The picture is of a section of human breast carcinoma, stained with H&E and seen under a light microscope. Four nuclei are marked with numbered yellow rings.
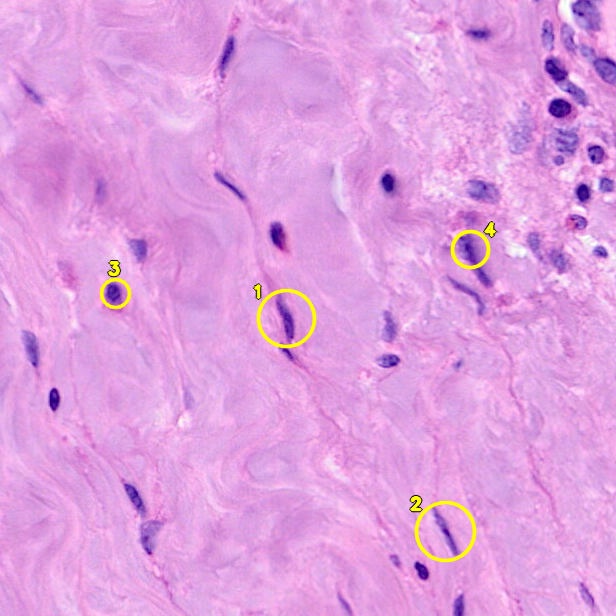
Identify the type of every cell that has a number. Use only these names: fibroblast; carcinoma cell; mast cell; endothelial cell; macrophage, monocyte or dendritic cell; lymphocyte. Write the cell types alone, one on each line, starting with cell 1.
fibroblast
fibroblast
mast cell
fibroblast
